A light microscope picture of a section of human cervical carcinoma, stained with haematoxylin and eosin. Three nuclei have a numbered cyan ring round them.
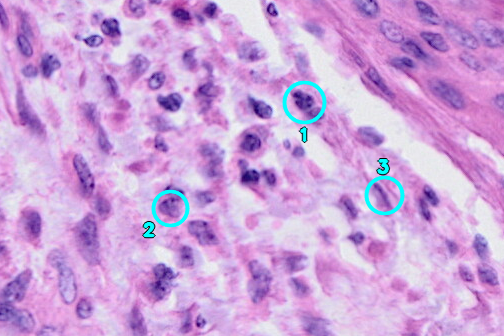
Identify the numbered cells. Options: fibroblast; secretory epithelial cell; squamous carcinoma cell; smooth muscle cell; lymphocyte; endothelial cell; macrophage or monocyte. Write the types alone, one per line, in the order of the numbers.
lymphocyte
macrophage or monocyte
fibroblast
